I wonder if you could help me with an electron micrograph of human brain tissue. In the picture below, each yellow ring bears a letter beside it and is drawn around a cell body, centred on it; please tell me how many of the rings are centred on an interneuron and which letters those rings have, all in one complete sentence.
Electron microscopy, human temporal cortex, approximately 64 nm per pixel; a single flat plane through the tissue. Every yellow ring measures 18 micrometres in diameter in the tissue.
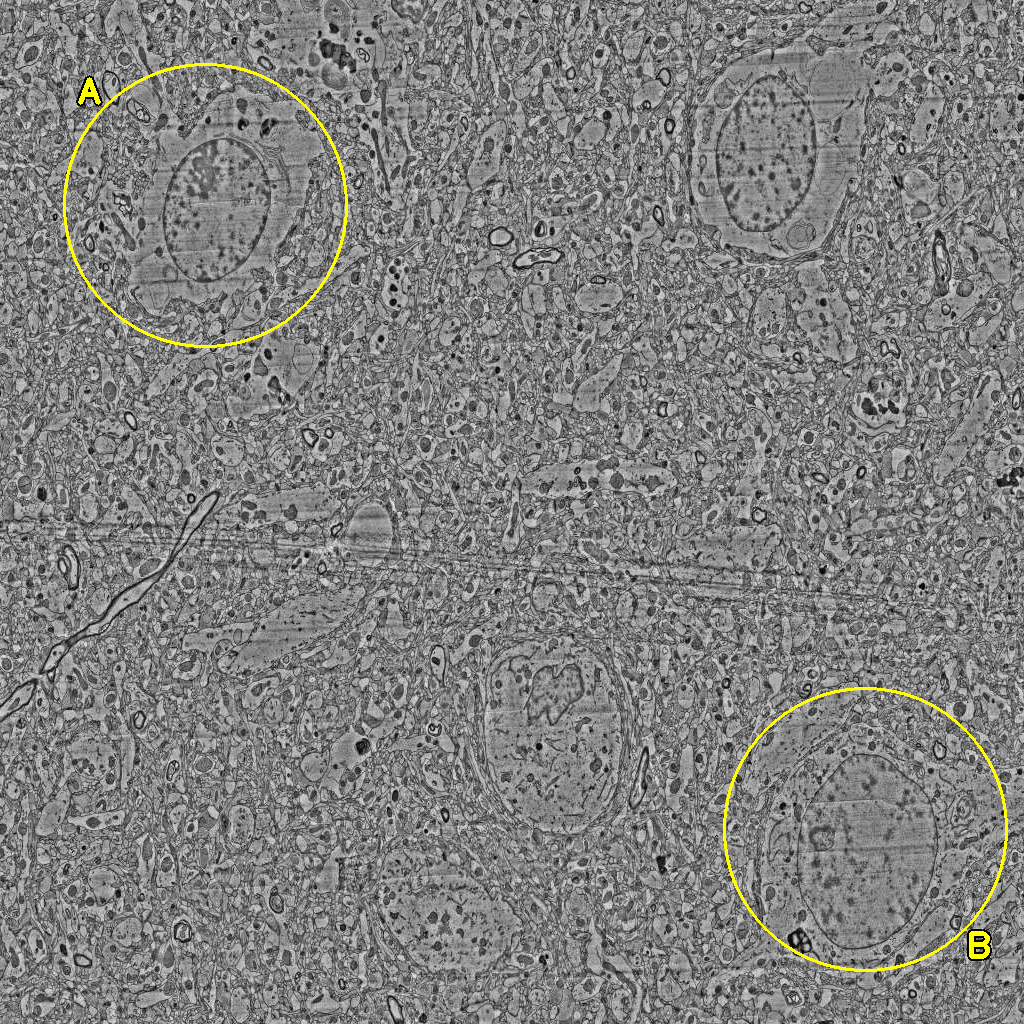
No yellow ring takes an interneuron as its centre, and the count is zero as a result.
